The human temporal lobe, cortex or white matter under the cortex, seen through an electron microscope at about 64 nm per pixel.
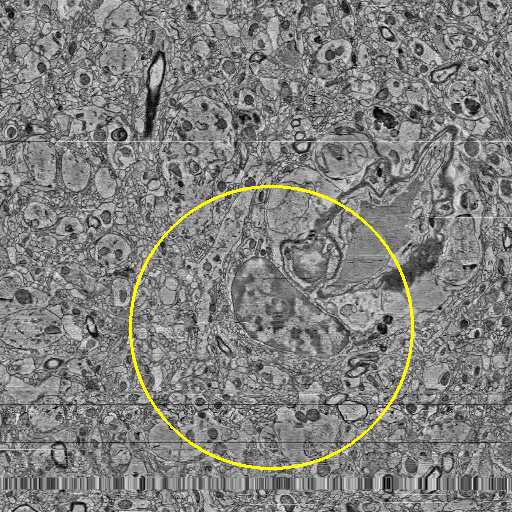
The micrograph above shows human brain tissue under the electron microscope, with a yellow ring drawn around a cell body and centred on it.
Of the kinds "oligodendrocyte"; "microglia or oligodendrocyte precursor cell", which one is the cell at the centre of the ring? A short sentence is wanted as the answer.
The one at the centre of the ring is a microglial cell or oligodendrocyte precursor cell.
